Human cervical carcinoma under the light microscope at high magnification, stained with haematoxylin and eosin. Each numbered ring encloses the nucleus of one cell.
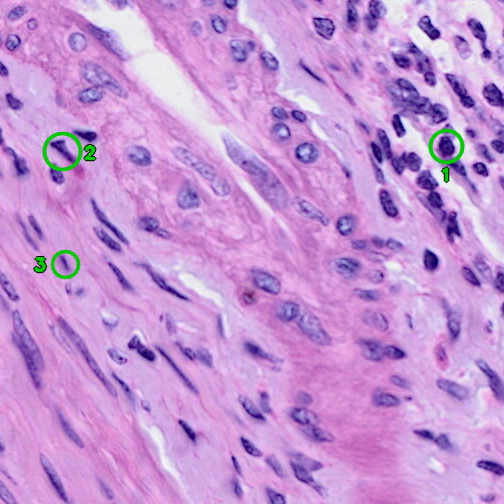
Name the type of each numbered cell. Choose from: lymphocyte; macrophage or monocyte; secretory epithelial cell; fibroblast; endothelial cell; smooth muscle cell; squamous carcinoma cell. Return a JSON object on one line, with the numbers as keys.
{"1": "lymphocyte", "2": "fibroblast", "3": "fibroblast"}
